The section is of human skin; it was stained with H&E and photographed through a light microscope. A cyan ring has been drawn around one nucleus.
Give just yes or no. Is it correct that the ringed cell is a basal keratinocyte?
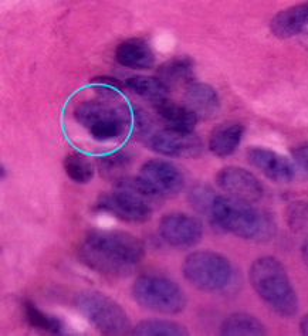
yes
